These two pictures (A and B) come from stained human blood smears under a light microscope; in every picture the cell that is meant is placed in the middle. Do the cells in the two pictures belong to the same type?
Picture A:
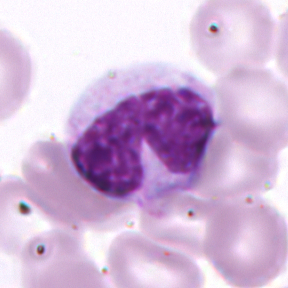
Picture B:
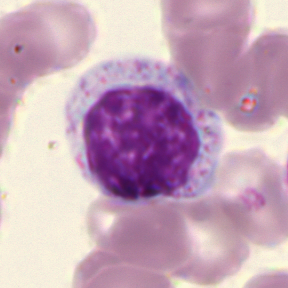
no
